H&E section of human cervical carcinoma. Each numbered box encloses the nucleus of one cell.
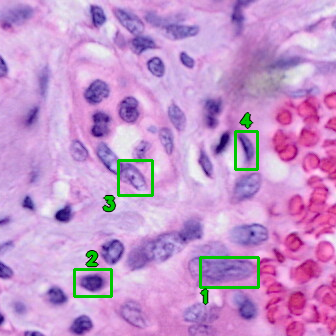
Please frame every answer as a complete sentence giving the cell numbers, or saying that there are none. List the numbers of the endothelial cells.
Cells 1, 3 and 4 are of one type, namely endothelial cells.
